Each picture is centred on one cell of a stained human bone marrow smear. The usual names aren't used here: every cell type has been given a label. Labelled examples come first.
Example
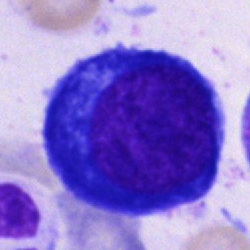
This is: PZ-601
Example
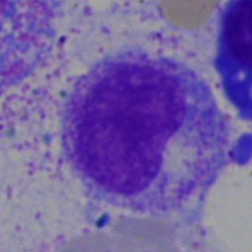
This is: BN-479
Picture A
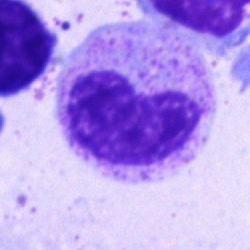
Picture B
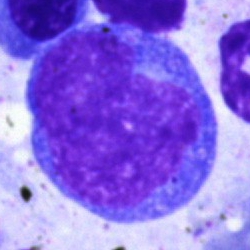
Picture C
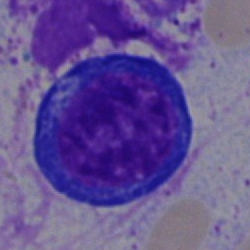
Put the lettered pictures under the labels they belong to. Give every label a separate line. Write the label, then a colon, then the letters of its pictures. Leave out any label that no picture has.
PZ-601: B, C
BN-479: A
